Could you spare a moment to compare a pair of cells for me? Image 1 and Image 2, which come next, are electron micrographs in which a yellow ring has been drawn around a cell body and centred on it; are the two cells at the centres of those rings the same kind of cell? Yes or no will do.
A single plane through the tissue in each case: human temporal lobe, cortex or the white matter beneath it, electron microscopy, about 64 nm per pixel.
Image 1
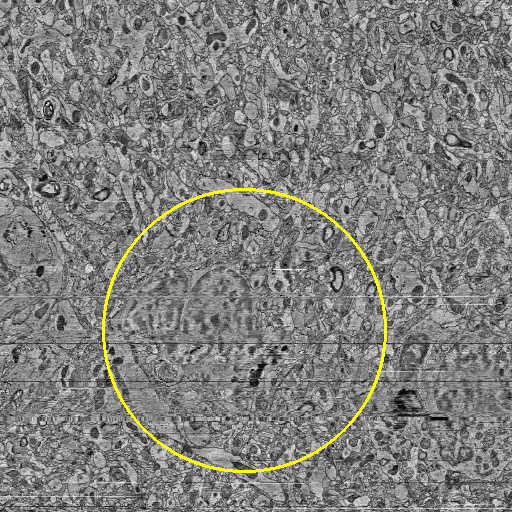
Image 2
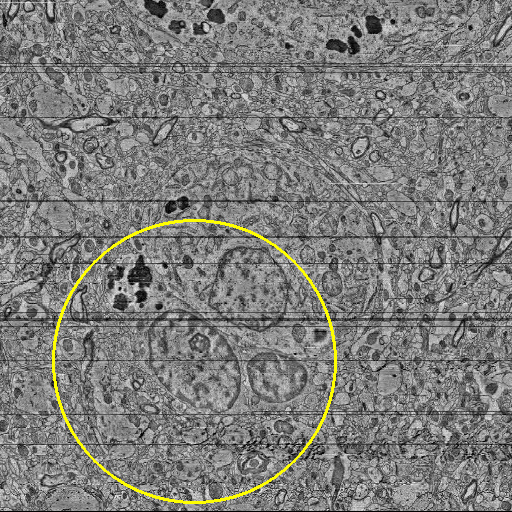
yes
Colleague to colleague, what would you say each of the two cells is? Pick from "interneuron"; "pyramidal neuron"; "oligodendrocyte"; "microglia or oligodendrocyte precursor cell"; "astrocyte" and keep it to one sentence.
Each one of the two ringed cells is an oligodendrocyte.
